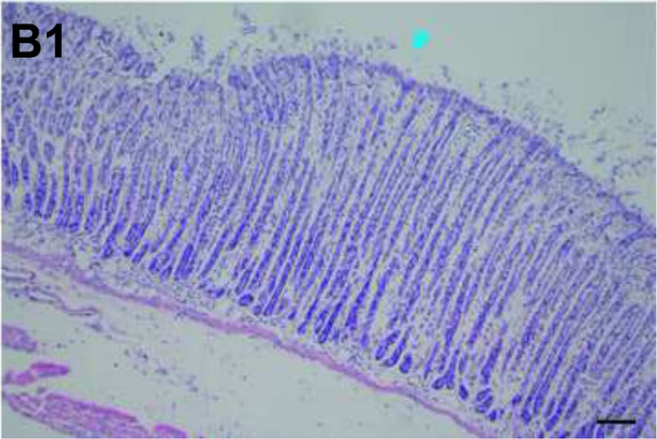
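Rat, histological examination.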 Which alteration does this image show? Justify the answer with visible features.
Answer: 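The surface edge of the mucosa is ragged and discontinuous. Loose cells and fragments are scattered in the space above the surface.
Epithelial cell loss.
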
